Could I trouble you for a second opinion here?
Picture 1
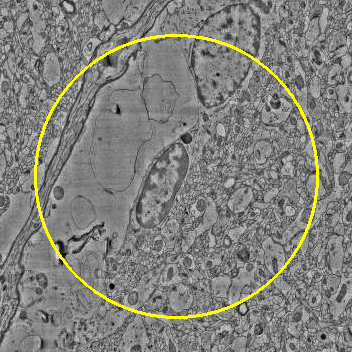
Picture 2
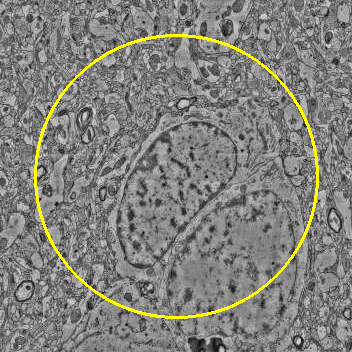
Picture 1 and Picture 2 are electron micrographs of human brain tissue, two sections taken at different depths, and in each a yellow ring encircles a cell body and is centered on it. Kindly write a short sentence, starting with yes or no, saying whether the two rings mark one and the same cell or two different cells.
No, the yellow rings are placed on two separate cells.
